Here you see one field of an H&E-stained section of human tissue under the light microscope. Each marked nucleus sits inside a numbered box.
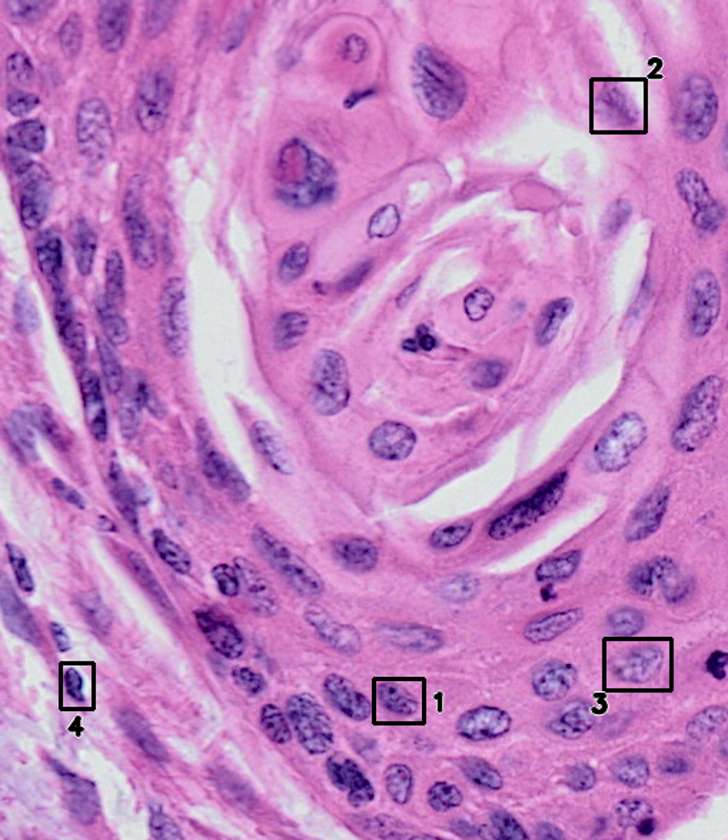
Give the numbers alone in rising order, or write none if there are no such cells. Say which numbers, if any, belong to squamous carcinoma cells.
1, 2, 3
